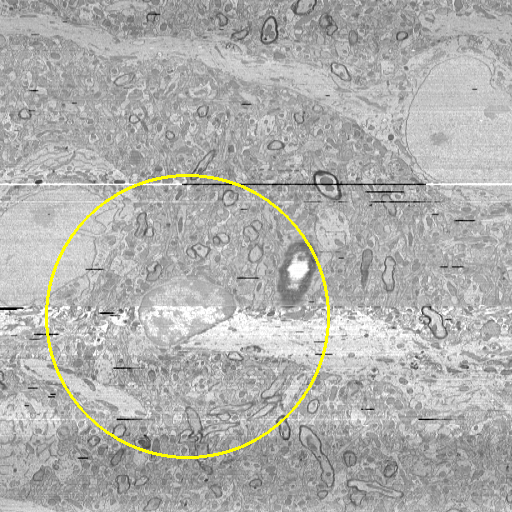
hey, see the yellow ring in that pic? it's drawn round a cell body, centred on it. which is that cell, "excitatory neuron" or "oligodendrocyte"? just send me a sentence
The cell in the ring is an oligodendrocyte.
